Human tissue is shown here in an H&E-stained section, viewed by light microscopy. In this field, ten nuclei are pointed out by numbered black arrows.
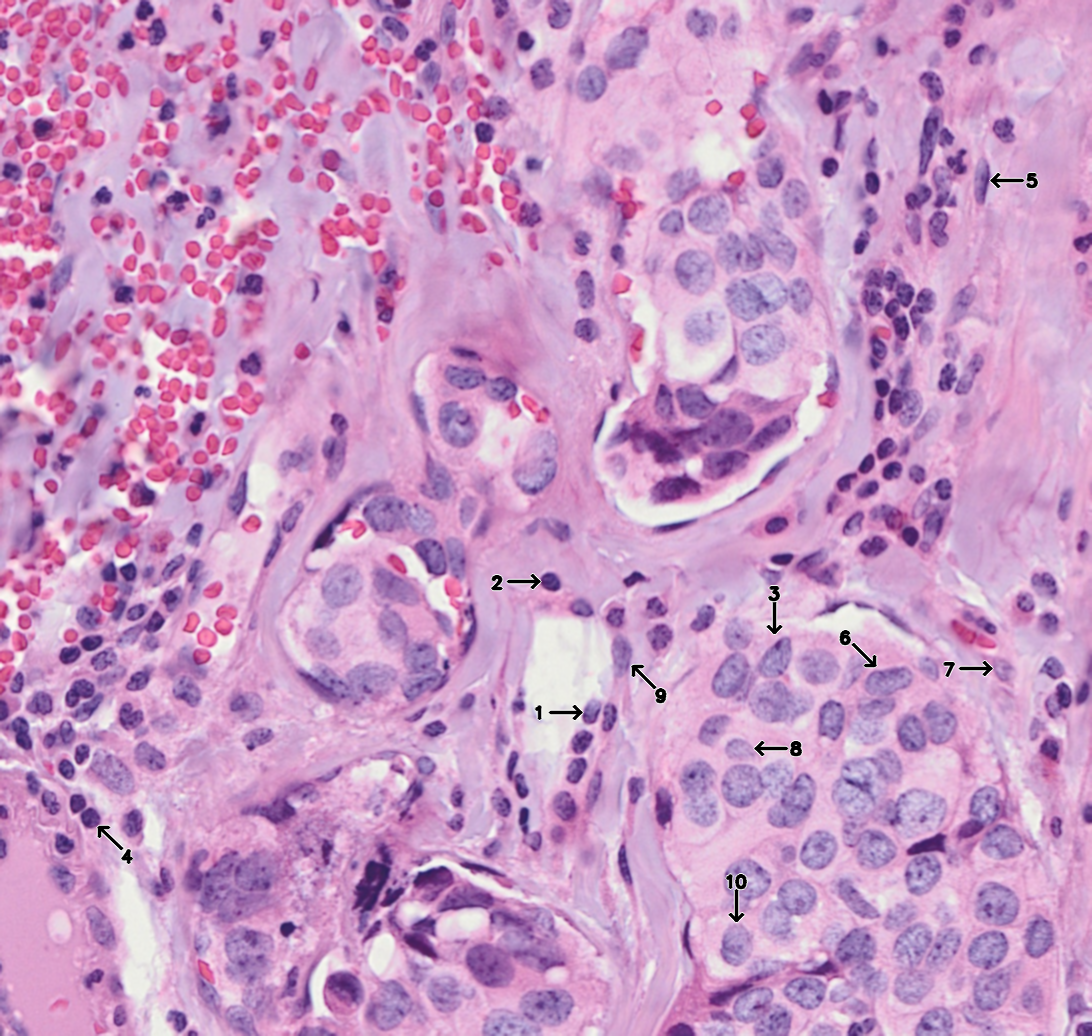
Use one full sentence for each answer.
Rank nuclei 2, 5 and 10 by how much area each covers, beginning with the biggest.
From largest to smallest, the order is 10, 5, 2.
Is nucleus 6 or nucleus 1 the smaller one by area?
Nucleus 1 is the smaller one; nucleus 6 covers about 3 times its area.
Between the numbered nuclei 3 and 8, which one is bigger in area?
It is nucleus 3, which covers about 2 times the area of nucleus 8.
